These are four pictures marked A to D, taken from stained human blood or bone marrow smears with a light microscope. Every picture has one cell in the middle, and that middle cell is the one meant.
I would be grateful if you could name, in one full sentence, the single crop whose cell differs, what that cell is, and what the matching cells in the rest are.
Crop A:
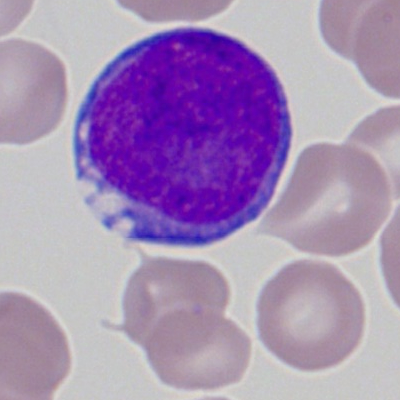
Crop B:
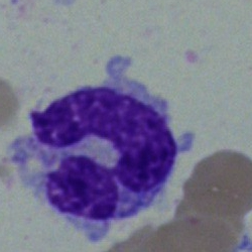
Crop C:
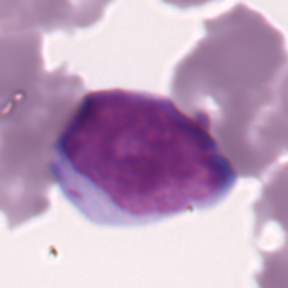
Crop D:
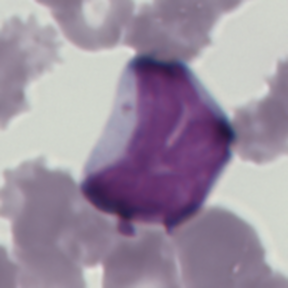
With the other crops all showing blasts, crop B differs by showing a monocyte.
